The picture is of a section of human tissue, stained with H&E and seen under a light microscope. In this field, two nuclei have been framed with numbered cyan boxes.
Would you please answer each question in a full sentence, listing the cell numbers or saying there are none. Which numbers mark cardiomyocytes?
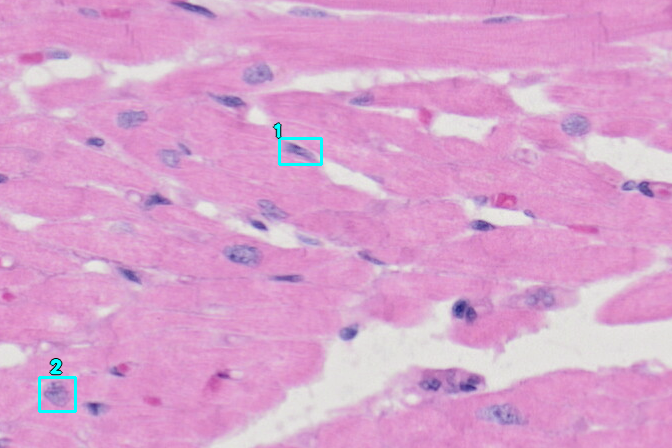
Cell 2 is a cardiomyocyte; the remaining numbered cells are not.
